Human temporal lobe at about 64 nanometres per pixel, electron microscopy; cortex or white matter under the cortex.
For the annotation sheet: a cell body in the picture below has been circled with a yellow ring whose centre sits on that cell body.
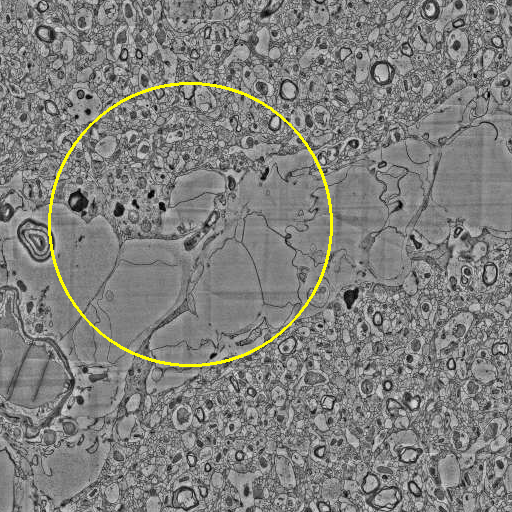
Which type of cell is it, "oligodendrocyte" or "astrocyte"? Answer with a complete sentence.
The circled cell is an oligodendrocyte.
